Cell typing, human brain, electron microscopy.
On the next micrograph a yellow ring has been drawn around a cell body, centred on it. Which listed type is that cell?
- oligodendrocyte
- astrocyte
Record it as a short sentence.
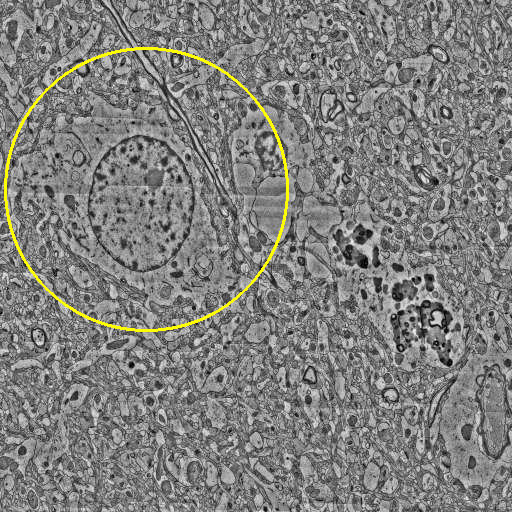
The cell body in the ring's centre belongs to an astrocyte.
